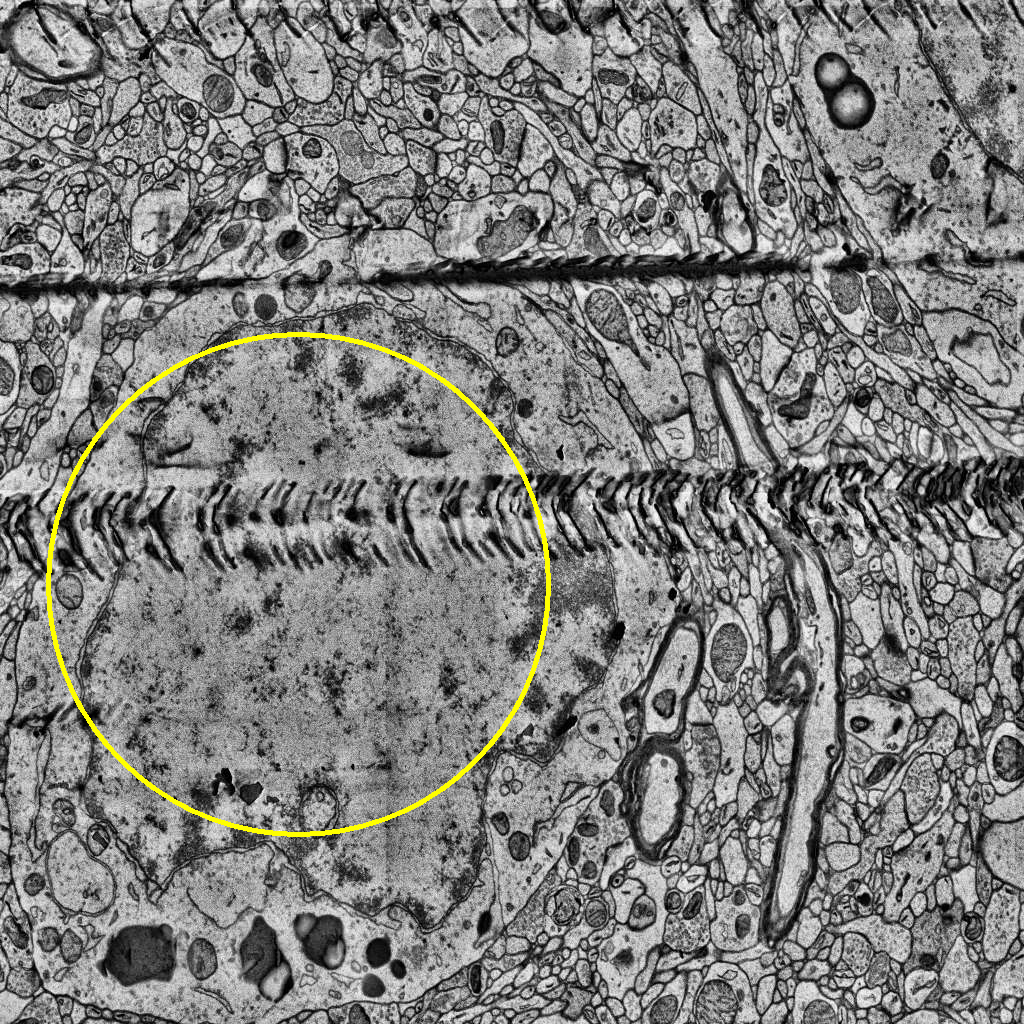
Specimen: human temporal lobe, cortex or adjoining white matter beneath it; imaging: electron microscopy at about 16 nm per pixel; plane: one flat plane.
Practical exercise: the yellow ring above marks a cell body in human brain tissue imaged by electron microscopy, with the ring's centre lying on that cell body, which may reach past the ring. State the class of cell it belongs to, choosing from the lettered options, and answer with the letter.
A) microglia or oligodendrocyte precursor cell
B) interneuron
B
